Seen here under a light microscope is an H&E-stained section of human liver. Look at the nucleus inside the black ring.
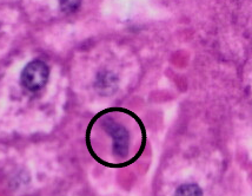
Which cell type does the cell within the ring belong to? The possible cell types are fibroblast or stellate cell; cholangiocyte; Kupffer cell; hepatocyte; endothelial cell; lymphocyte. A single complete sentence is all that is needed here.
Typologically, the cell within the ring is a Kupffer cell in this section.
